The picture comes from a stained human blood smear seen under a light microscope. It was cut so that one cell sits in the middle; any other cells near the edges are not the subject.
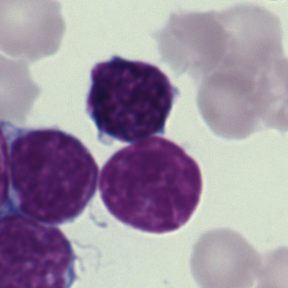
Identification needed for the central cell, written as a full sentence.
Whatever else lies nearby, the middle cell is a myeloblast.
